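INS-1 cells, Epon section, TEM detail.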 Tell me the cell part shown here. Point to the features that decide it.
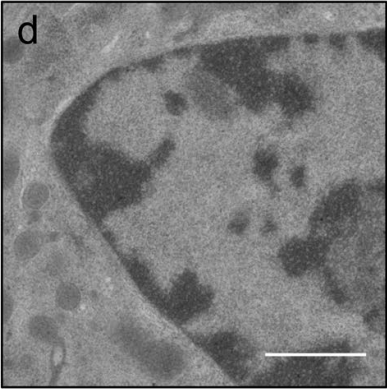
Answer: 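A large region with dark irregular chromatin clumps in a lighter granular matrix. The region is bounded by a sharp curved envelope line running diagonally across the panel. The answer: nucleus.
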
